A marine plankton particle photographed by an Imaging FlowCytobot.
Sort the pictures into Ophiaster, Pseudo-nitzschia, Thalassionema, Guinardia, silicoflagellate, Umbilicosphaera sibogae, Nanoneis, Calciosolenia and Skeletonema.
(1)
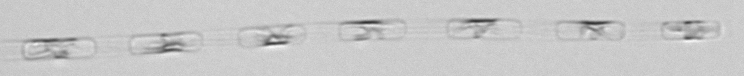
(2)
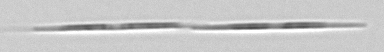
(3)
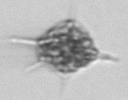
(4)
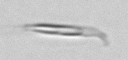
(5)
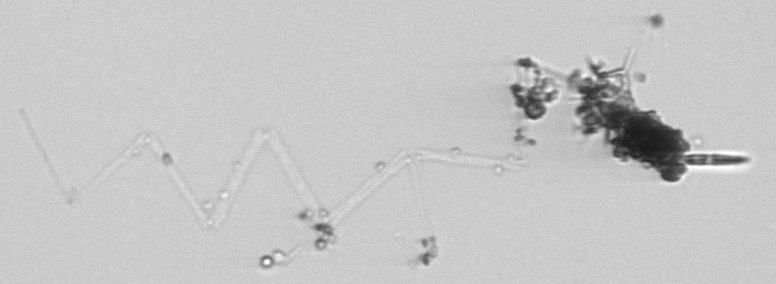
Skeletonema: 1
Pseudo-nitzschia: 2
Silicoflagellates: 3
Calciosolenia: 4
Thalassionema: 5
